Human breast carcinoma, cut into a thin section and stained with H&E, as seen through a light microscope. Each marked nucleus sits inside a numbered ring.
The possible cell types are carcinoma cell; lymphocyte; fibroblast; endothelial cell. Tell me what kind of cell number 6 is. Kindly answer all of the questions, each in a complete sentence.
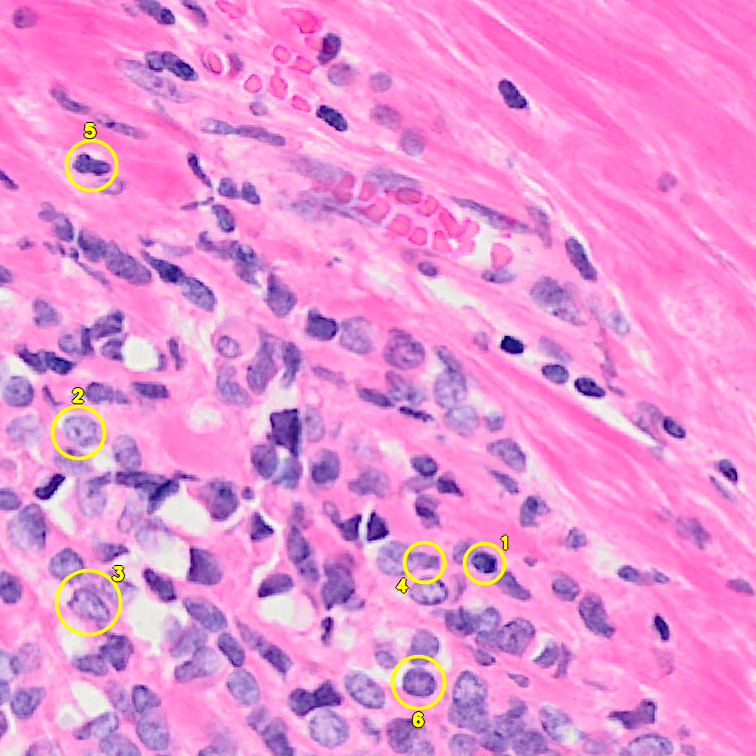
The cell marked with number 6 is a carcinoma cell.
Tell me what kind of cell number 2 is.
The correct label for cell 2 is a carcinoma cell.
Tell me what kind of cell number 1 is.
The numbered cell 1 is identified here as a lymphocyte.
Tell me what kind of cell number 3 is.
The nucleus marked 3 is the nucleus of a carcinoma cell.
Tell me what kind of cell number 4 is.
Belonging to a carcinoma cell is the nucleus that carries the number 4.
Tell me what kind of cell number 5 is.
The numbered cell 5 is identified here as a lymphocyte.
